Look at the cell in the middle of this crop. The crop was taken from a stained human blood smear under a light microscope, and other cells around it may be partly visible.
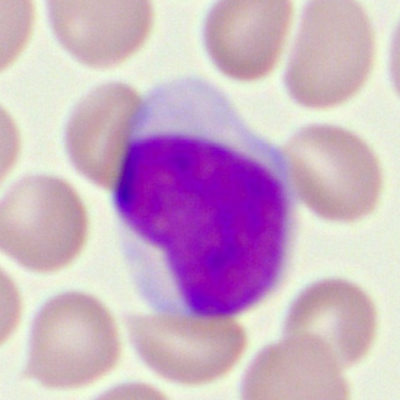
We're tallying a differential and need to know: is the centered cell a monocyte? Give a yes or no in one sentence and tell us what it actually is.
No, a myeloblast rather than a monocyte is the cell at the centre of the crop.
